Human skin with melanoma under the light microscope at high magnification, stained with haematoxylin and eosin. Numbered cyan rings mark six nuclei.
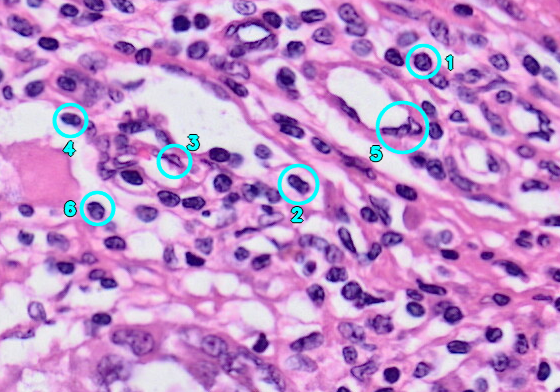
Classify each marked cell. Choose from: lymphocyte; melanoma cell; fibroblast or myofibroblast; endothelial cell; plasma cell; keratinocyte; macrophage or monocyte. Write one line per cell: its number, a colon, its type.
1: lymphocyte
2: lymphocyte
3: endothelial cell
4: lymphocyte
5: endothelial cell
6: lymphocyte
